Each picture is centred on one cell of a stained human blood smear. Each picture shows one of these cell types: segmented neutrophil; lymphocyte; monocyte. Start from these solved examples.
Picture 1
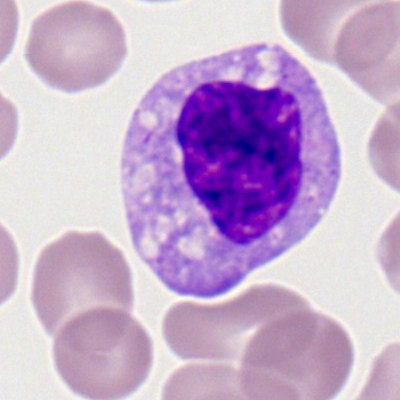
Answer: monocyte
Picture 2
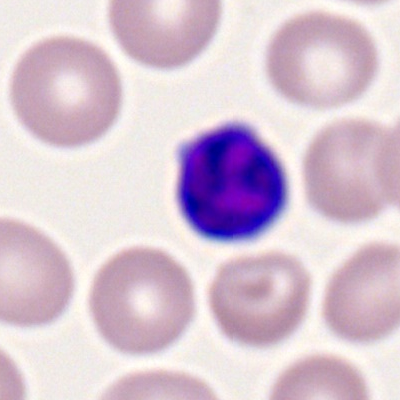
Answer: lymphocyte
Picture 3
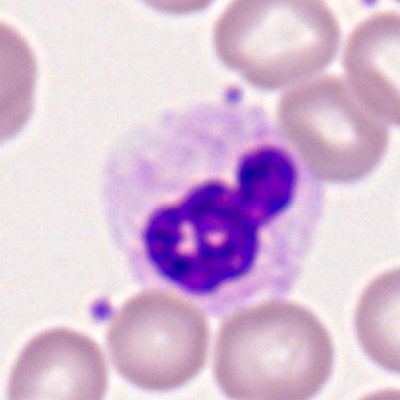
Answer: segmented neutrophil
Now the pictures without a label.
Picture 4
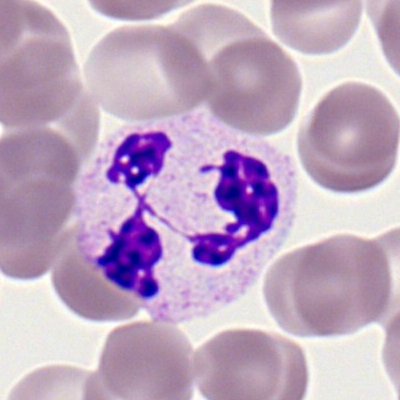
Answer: segmented neutrophil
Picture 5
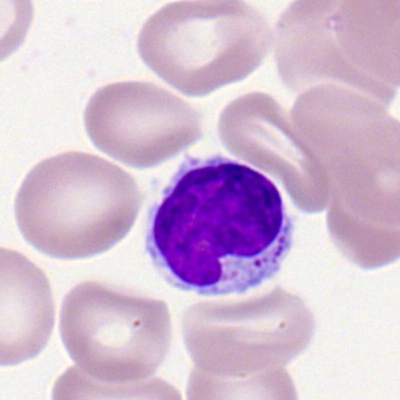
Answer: lymphocyte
